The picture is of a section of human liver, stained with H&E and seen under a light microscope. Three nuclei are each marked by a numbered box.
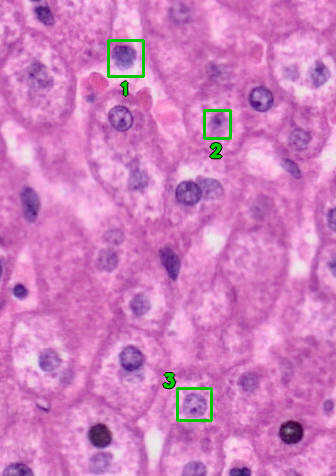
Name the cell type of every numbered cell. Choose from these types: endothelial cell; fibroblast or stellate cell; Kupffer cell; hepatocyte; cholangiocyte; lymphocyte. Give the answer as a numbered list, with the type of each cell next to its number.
1. endothelial cell
2. hepatocyte
3. hepatocyte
